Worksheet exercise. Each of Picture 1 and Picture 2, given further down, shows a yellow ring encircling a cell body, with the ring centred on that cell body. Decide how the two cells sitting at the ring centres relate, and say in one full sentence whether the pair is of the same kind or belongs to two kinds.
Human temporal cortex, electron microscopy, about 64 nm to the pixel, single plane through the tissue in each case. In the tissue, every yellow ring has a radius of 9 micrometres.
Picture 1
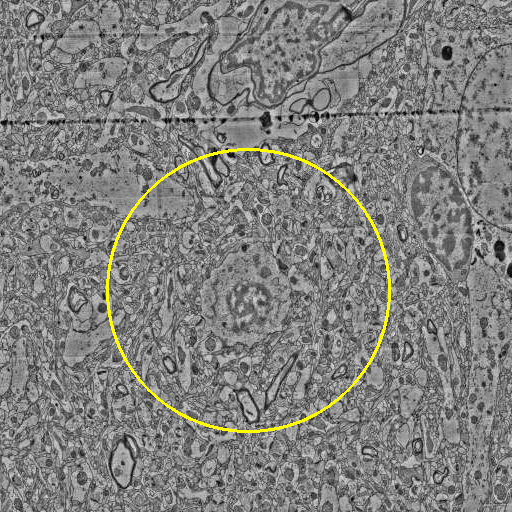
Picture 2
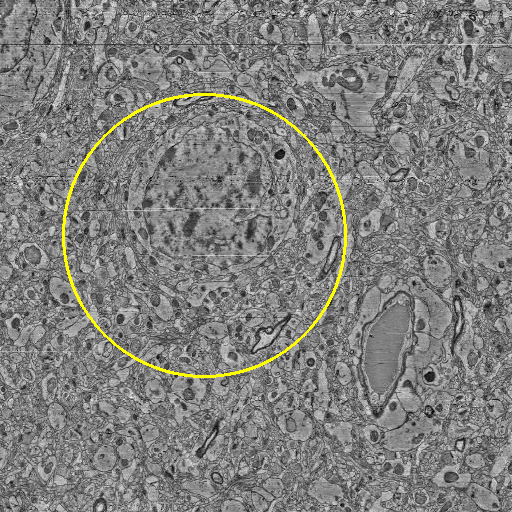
The cells at the ring centres in Picture 1 and Picture 2 are of the same kind.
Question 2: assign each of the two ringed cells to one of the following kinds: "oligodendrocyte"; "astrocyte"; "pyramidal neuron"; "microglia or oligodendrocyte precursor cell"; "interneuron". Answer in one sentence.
Both pictures show an interneuron at the centre of the ring.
